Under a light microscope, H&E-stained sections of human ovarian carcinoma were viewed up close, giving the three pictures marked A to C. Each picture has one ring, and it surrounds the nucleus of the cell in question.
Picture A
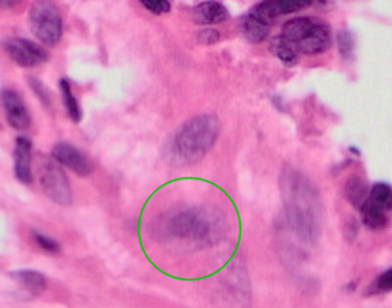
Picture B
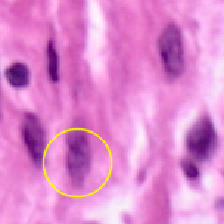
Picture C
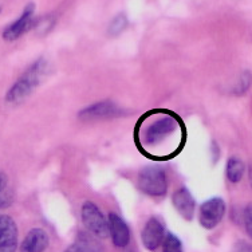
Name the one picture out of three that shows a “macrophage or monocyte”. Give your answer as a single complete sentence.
The cell in picture C is the “macrophage or monocyte”.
